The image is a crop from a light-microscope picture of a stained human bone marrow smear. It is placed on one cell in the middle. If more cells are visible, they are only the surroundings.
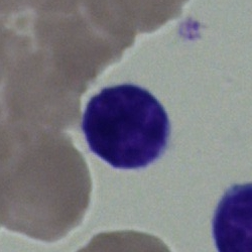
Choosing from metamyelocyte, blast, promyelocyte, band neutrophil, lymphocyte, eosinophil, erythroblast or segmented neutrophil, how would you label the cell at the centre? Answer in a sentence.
Answering briefly, the cell in the middle is a lymphocyte.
